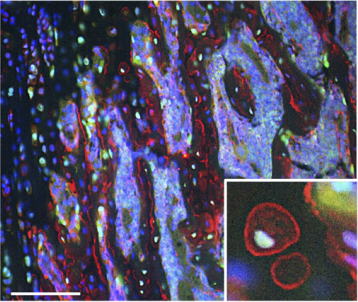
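This is bone with marrow spaces full of blue nuclei, lying between trabeculae. Red fluorescence outlines the margins of the trabeculae and rings individual cells. Some nuclei near these edges appear bright green-white. The inset shows round cells with a red ring around their periphery.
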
